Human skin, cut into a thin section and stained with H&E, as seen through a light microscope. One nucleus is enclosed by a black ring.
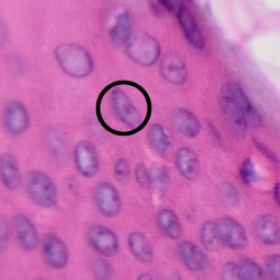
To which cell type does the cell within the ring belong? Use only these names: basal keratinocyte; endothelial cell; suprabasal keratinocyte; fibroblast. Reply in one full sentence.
As to its cell type, the cell within the ring is a suprabasal keratinocyte.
